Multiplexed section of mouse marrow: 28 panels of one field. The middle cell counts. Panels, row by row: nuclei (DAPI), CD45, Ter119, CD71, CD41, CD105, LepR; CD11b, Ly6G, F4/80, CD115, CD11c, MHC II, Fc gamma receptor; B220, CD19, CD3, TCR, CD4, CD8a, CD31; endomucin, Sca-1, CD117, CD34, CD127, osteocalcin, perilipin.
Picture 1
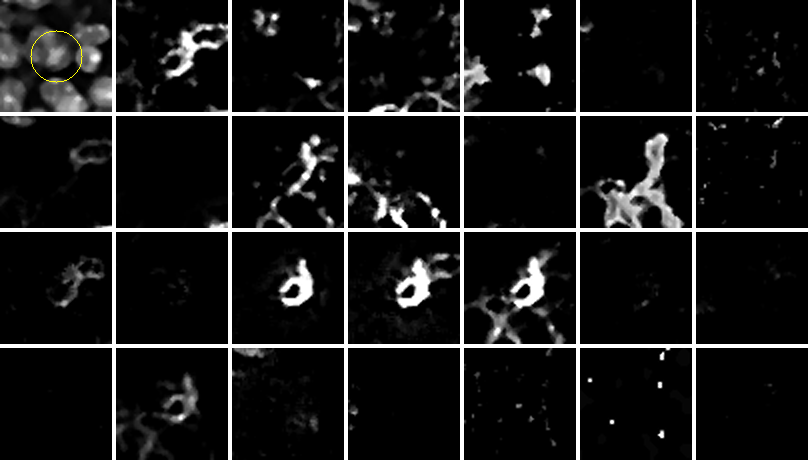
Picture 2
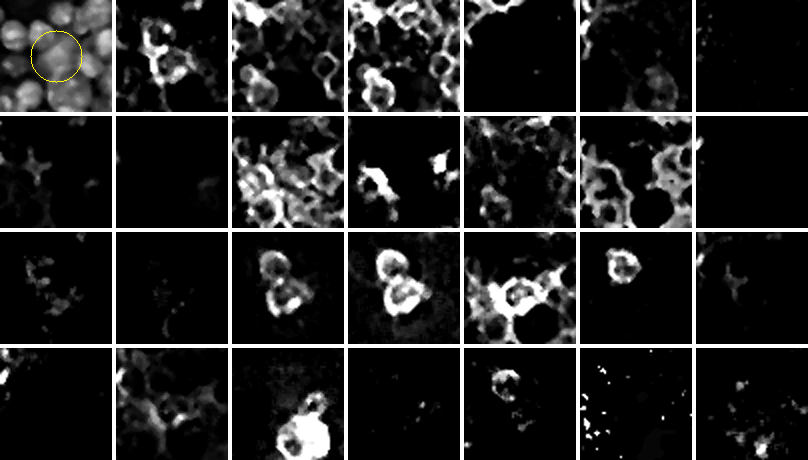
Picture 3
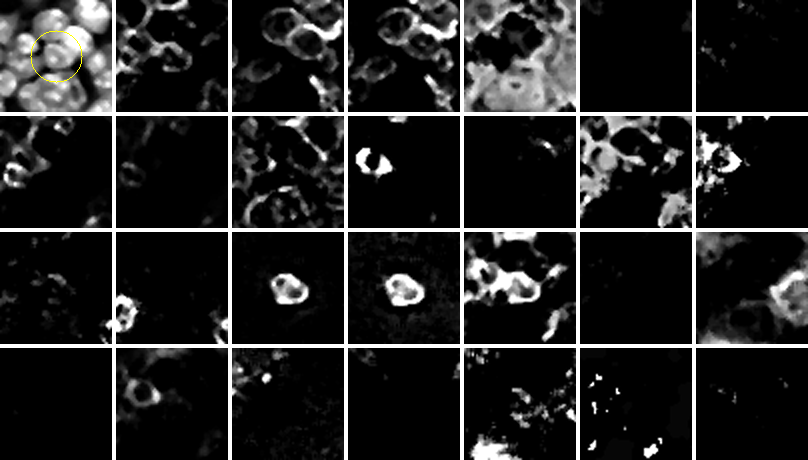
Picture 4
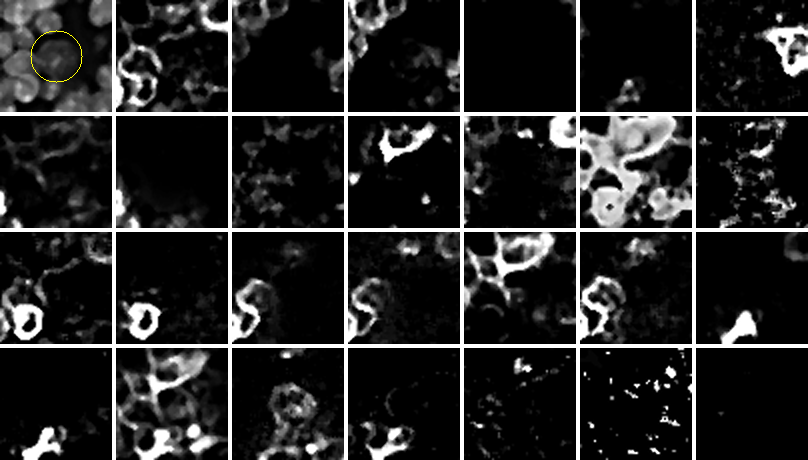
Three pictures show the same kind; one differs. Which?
Picture 4: a KLS stem or progenitor cell, while the others are CD4 T cells.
